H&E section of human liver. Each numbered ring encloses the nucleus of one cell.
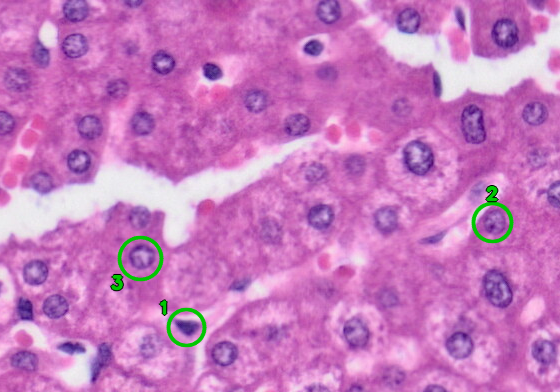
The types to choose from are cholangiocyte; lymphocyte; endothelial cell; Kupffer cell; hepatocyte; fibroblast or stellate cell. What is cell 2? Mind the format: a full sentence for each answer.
The identity of cell 2 is that of a hepatocyte.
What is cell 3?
The cell indicated by marker 3 is a hepatocyte in this section.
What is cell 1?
What the number 1 marks in this field is a lymphocyte.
